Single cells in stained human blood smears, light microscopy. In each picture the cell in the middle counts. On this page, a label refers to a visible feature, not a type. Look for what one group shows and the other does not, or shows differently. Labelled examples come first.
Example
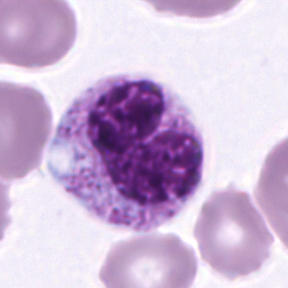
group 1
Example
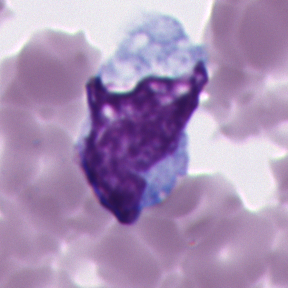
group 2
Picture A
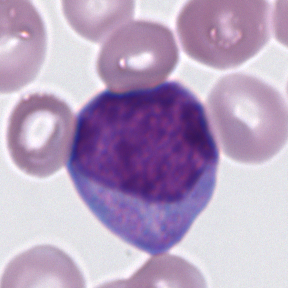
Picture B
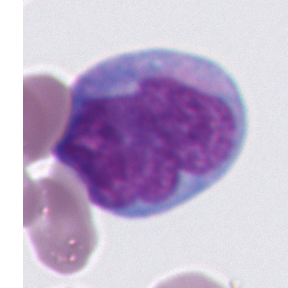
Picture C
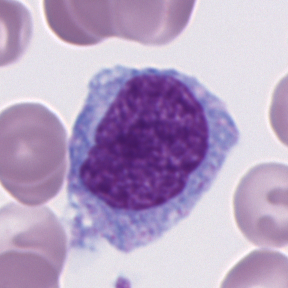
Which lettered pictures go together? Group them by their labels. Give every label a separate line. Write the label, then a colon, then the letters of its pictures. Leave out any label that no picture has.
group 1: A, C
group 2: B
